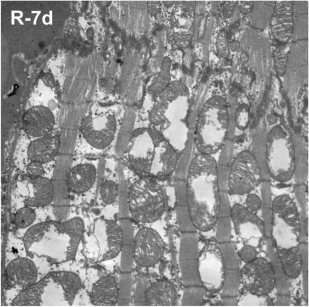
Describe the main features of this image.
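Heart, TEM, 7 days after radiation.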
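Cardiac muscle with striated myofilament bands that are irregular and frayed in places. The mitochondria between them are rounded and many contain large pale empty areas with few remaining cristae.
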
